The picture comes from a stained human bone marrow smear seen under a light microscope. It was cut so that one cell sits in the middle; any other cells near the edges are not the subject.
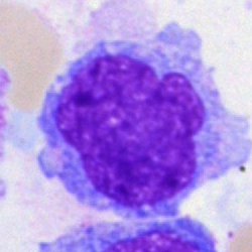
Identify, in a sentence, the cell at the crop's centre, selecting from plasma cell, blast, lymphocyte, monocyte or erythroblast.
The single cell at the center of the crop is a monocyte.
